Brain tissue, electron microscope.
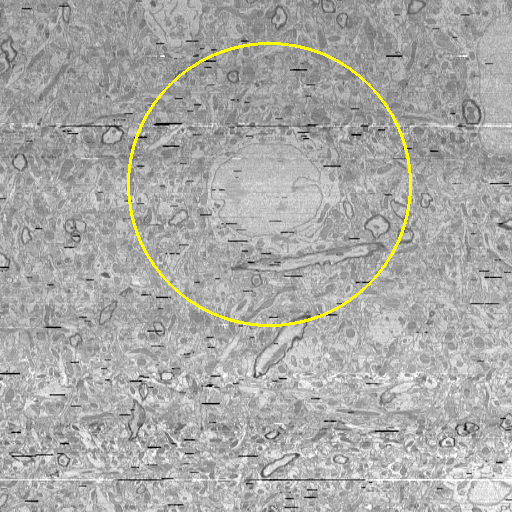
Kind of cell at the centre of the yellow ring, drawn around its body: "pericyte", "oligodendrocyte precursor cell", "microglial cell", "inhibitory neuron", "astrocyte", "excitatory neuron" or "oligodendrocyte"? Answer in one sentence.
The ring's centre falls on an excitatory neuron.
